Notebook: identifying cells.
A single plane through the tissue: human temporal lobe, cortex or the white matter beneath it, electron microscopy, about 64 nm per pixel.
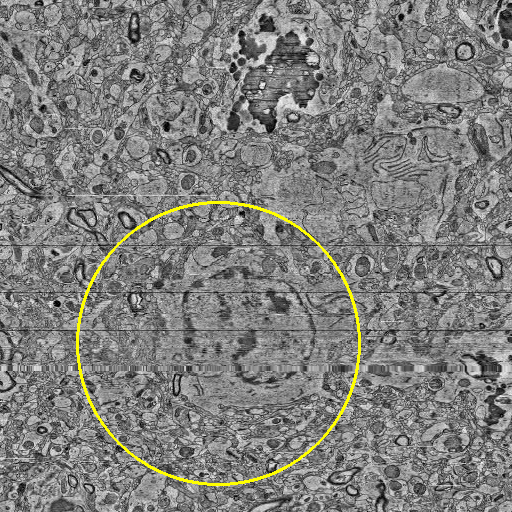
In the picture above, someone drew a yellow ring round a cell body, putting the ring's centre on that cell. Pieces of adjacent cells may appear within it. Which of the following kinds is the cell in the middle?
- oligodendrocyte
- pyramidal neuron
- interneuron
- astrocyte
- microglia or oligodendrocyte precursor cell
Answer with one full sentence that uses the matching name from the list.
In this picture, the yellow ring is centred on the body of an astrocyte.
